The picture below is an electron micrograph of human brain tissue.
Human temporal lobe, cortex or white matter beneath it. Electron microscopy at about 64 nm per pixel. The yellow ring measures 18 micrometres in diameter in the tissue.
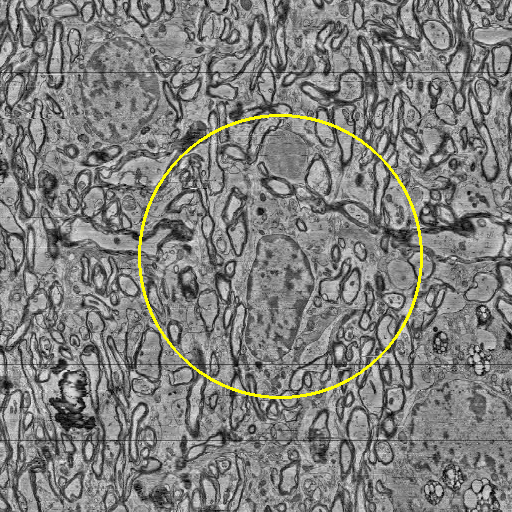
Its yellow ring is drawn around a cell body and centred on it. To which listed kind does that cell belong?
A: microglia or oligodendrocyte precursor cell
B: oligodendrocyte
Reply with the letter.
A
